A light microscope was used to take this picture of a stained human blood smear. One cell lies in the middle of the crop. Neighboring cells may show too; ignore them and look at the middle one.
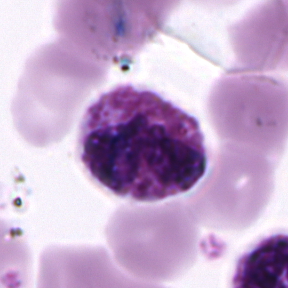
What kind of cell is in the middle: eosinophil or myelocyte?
eosinophil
